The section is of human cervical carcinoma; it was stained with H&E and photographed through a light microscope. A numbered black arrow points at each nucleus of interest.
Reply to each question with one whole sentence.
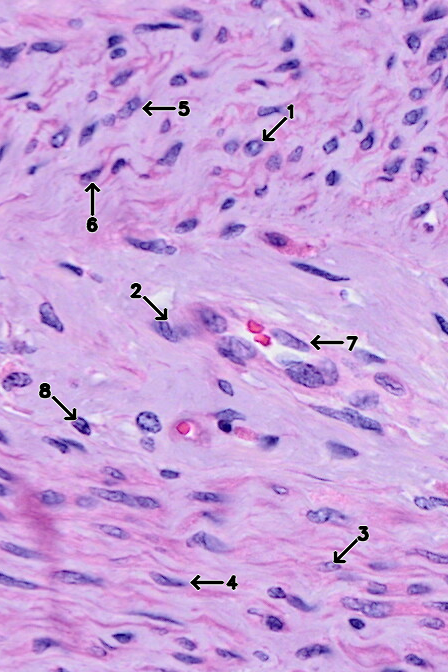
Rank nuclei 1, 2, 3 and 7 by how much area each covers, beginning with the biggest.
Largest first, the order by area is 2, 7, 1, 3.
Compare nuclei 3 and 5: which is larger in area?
Number 5 is larger; its area is about 1.5 times that of number 3.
